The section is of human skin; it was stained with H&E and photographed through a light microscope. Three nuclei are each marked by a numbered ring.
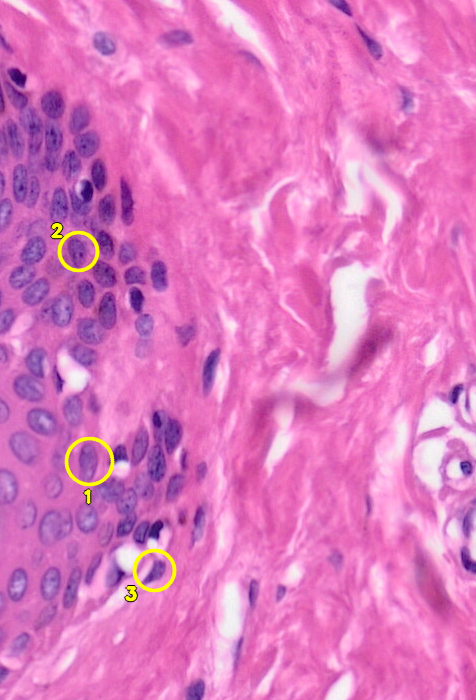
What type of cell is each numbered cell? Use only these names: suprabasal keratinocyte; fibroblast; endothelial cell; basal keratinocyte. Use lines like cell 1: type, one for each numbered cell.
cell 1: basal keratinocyte
cell 2: basal keratinocyte
cell 3: fibroblast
